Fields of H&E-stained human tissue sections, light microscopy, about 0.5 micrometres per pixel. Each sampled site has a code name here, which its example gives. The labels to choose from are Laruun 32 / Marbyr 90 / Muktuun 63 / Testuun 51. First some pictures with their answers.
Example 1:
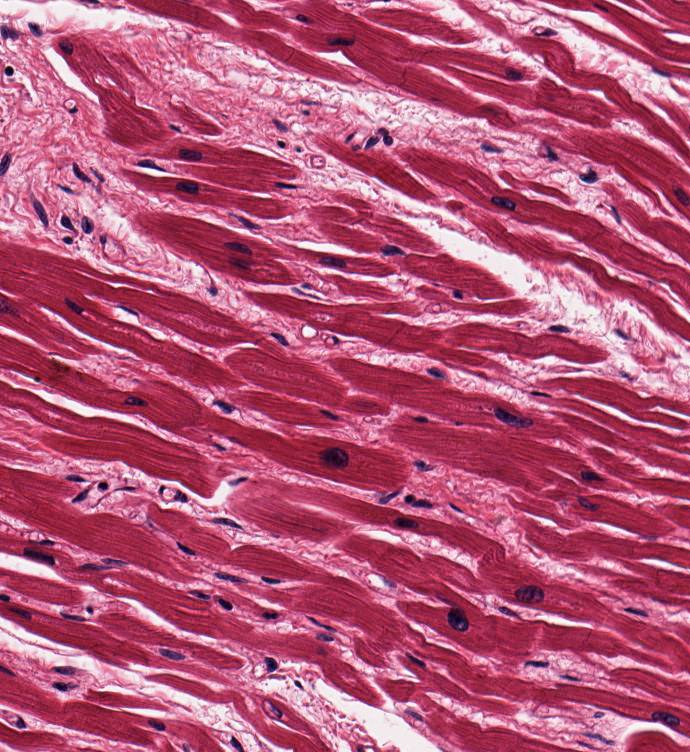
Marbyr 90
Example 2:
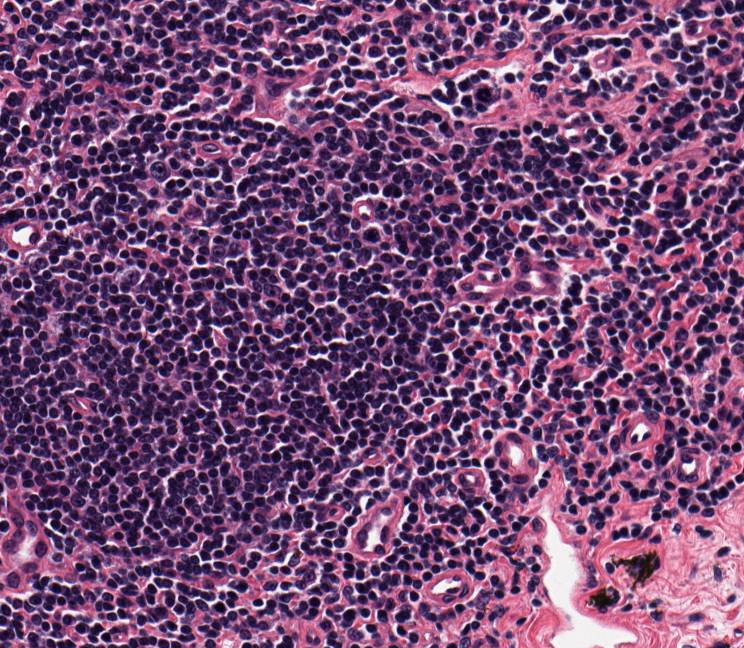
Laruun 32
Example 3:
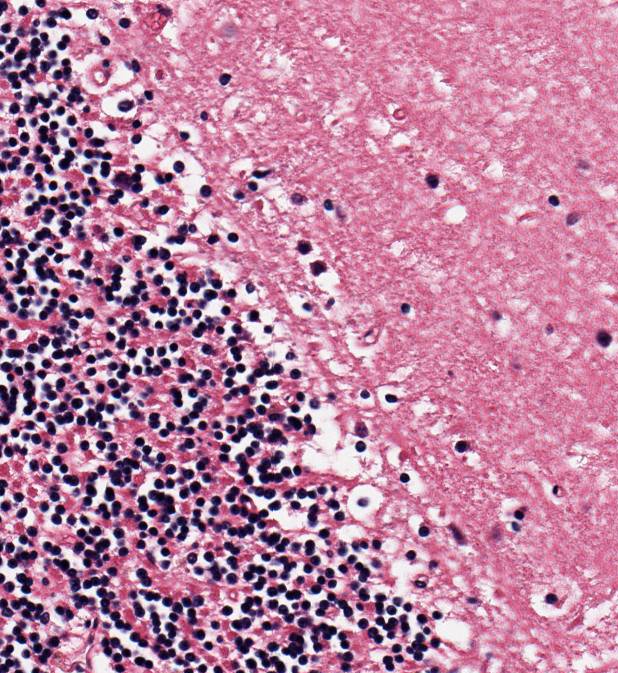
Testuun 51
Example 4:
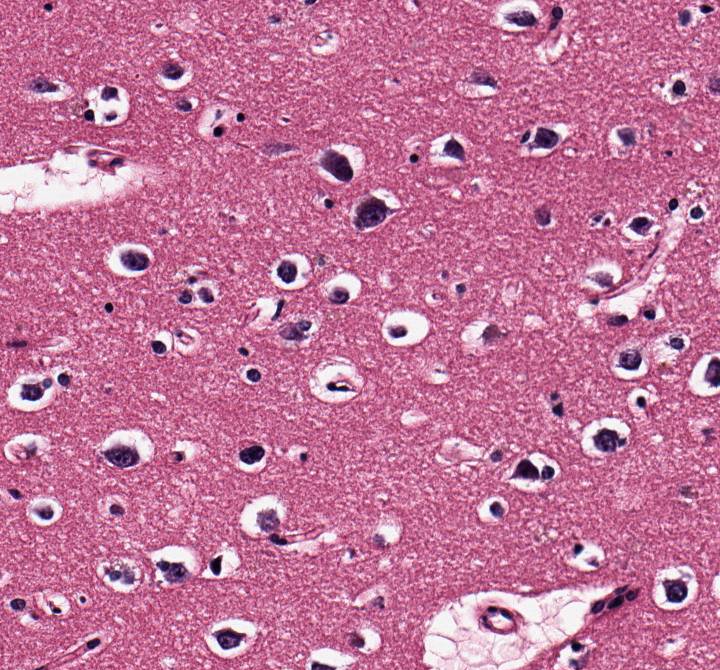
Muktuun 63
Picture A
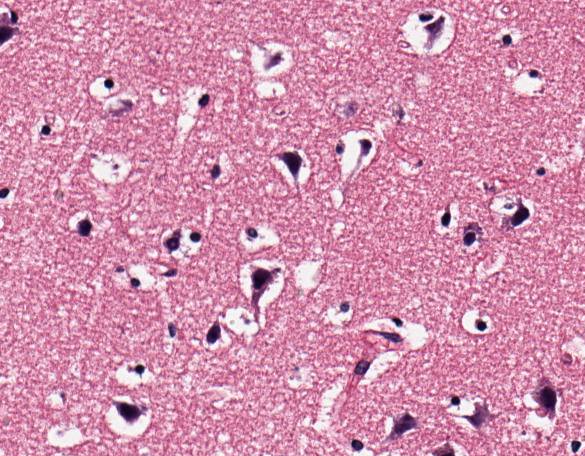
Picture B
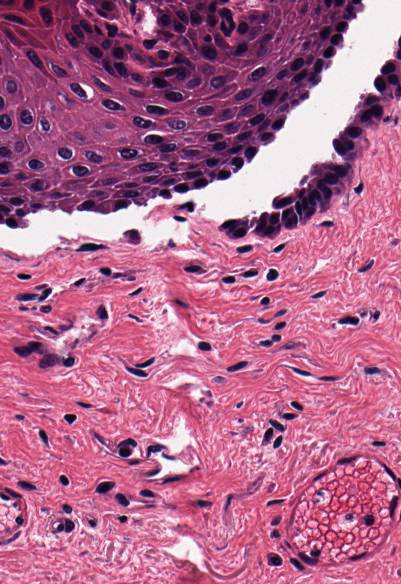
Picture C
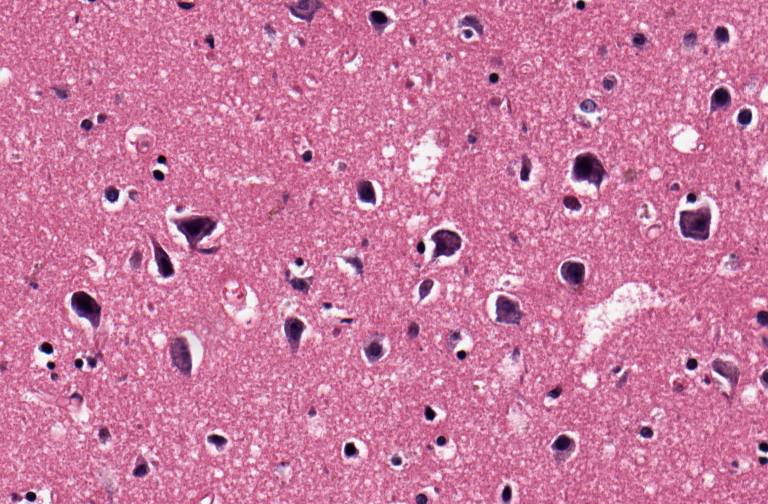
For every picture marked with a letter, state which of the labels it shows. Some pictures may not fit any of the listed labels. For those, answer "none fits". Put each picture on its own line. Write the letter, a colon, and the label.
A: Muktuun 63
B: none fits
C: Muktuun 63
